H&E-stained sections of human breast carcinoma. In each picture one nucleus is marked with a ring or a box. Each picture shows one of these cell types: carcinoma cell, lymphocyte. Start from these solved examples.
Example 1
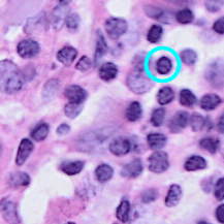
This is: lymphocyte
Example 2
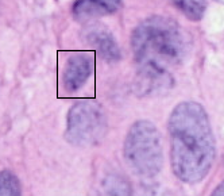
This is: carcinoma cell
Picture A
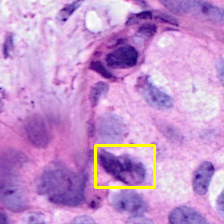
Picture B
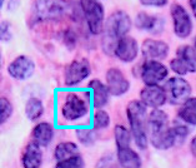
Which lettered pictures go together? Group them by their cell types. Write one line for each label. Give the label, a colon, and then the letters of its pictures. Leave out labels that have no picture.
carcinoma cell: A
lymphocyte: B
